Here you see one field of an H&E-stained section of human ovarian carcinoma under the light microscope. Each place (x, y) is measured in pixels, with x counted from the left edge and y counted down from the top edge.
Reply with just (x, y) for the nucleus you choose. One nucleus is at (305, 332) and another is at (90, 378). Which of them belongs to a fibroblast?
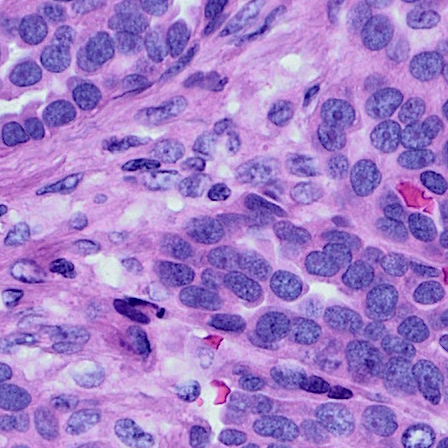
(90, 378)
